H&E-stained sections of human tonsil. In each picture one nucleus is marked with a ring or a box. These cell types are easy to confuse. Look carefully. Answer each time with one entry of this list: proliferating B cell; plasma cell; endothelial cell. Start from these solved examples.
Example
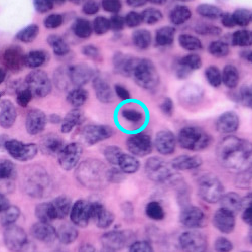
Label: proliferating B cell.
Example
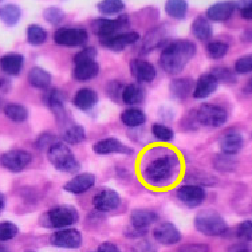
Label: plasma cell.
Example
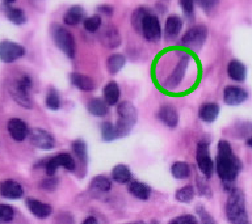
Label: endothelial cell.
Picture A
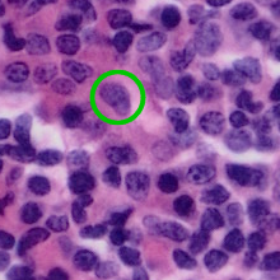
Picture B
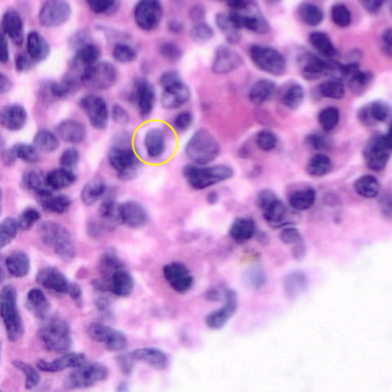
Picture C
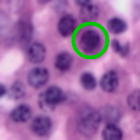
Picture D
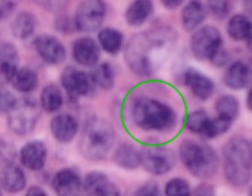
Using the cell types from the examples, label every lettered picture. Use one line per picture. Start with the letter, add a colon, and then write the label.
A: endothelial cell.
B: proliferating B cell.
C: plasma cell.
D: proliferating B cell.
